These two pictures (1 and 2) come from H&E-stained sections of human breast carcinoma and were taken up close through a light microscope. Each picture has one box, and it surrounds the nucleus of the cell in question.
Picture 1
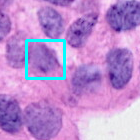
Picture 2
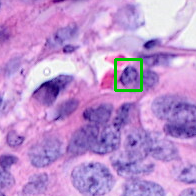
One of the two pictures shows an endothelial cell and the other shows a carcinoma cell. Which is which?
1: carcinoma cell
2: endothelial cell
